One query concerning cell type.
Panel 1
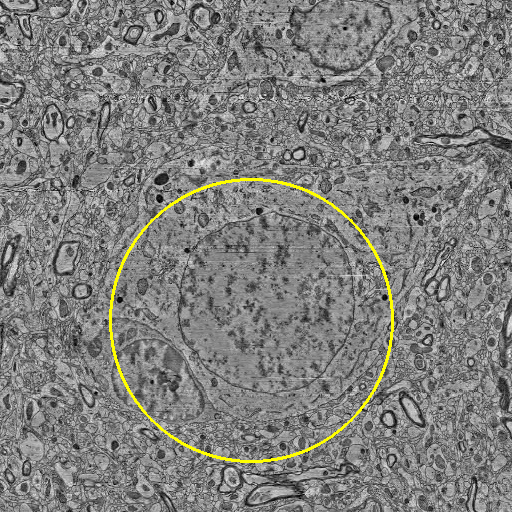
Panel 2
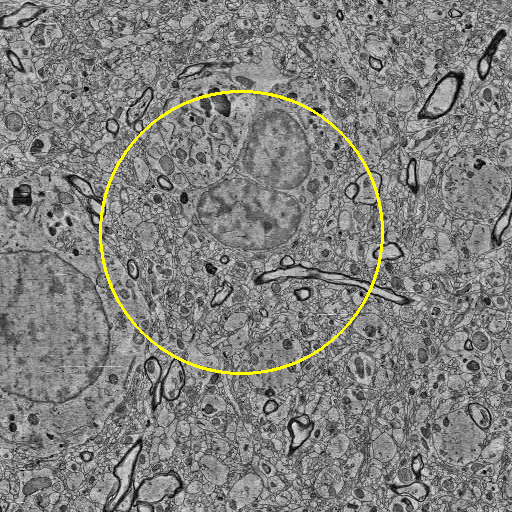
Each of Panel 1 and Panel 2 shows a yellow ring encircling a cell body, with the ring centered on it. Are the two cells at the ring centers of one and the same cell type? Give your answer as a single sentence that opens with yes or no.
No, the cell centered in Panel 1 and the one in Panel 2 are of two types.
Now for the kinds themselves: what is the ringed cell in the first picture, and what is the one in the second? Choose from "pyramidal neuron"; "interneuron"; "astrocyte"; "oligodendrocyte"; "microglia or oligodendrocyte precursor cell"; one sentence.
Here the first cell is a pyramidal neuron and the second cell is an oligodendrocyte.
